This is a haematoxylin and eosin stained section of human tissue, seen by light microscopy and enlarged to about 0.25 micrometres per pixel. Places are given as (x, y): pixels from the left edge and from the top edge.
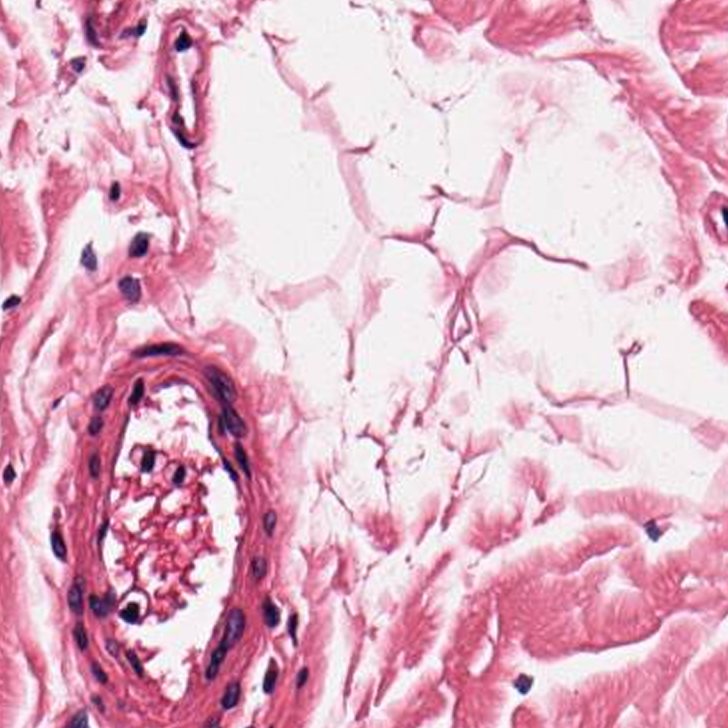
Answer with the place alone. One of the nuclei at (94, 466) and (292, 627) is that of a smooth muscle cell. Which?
(94, 466)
